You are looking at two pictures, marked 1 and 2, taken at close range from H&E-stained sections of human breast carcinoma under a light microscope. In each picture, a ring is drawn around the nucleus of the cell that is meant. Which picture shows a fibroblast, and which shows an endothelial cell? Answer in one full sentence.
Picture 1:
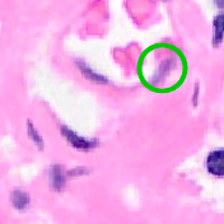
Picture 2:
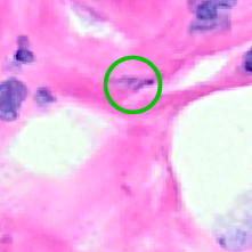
Picture 2 shows a fibroblast, while picture 1 shows an endothelial cell.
